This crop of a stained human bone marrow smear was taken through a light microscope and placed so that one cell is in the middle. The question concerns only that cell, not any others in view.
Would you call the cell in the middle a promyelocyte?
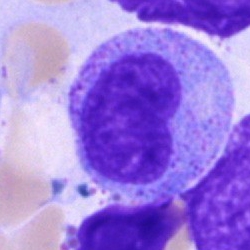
yes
